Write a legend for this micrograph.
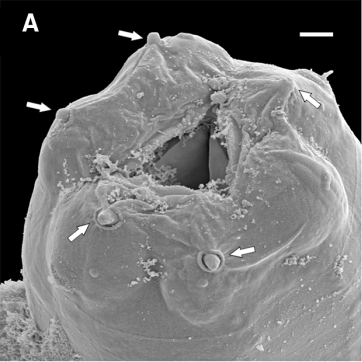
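Seen from the front, the head end of a nematode shows a smooth cuticle folded into lips around a triangular mouth opening, inside which smooth tooth-like plates are visible. On the lips close to the opening sit small raised papillae, some rimmed and dome-shaped, others as tiny knobs on the outer margin. Loose debris particles cling to the surface around the mouth.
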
